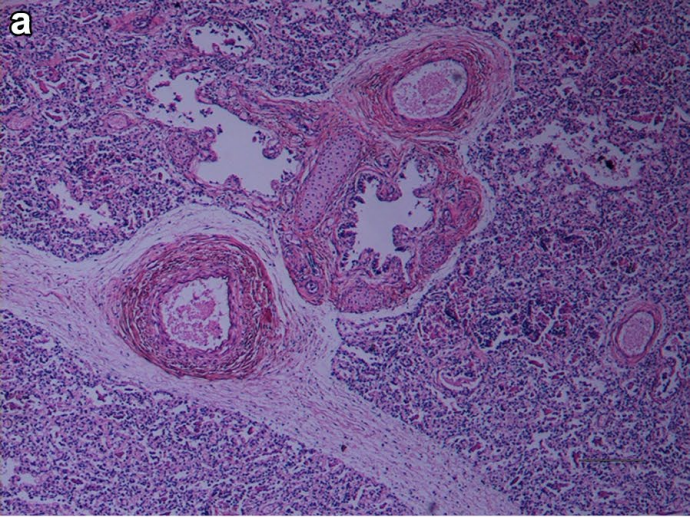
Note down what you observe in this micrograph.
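Lung tissue in which the parenchyma is dense and mostly collapsed, with only scattered narrow air spaces, and a bronchus with folded epithelium lies beside thick-walled arteries in the centre. A broad pale band of loose, oedematous interlobular interstitium crosses the lower left, and the tissue around the bronchus and vessels is also pale and loose.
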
